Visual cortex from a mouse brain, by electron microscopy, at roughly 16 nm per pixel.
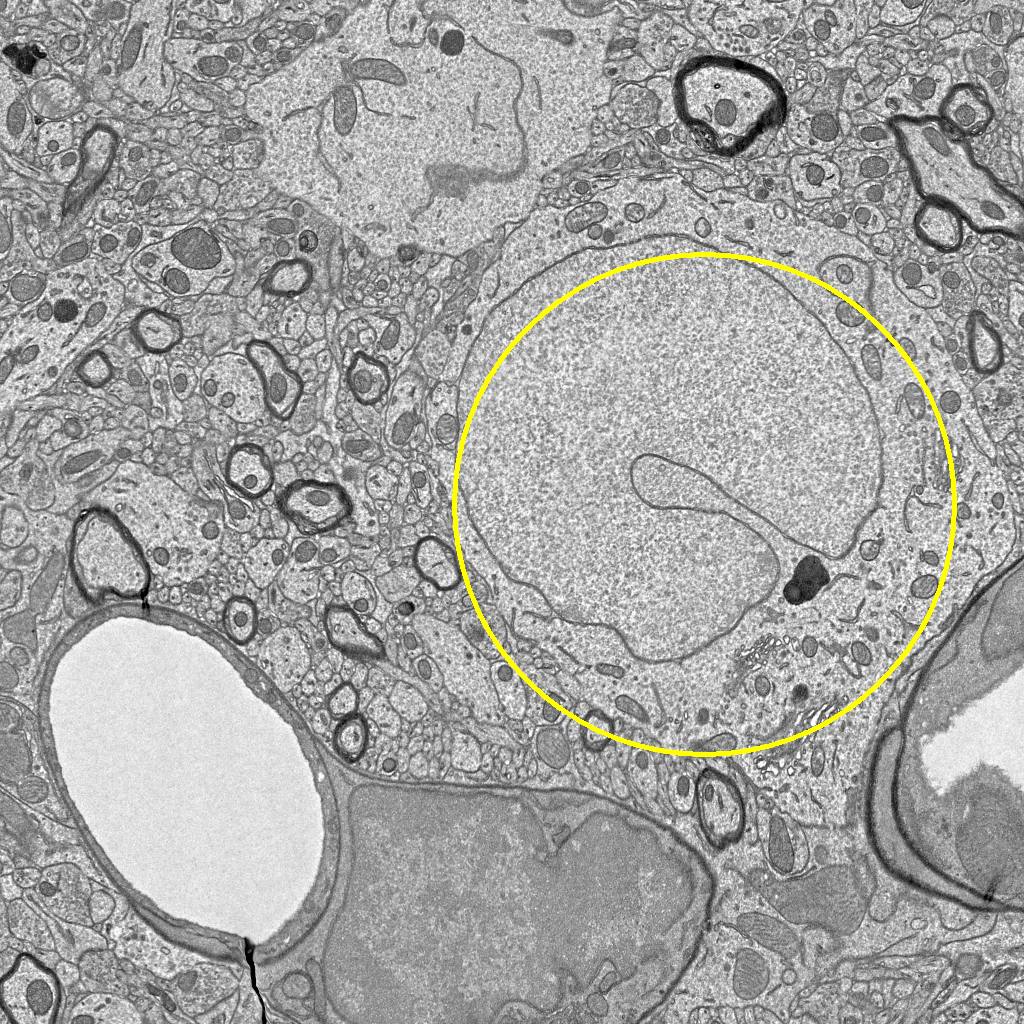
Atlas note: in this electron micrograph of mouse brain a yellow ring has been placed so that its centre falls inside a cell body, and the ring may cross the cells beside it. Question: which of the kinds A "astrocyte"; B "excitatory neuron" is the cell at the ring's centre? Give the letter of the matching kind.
B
